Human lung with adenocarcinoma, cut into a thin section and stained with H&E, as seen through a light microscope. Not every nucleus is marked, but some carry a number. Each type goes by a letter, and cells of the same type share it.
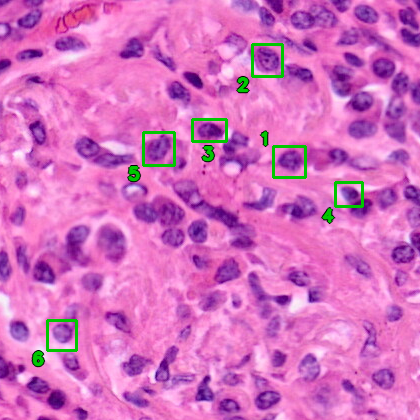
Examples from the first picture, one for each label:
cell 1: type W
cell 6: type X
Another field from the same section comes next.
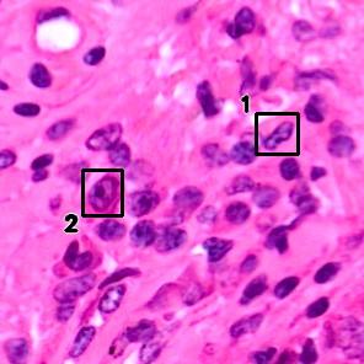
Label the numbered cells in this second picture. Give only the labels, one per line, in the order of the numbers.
type X
type W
